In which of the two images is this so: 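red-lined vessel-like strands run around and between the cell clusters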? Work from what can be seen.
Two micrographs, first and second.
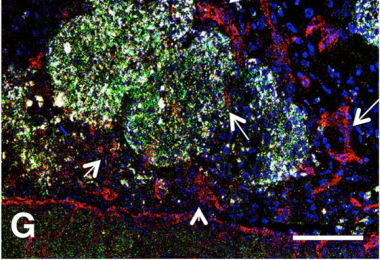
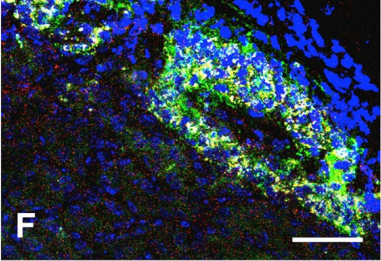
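Second image: hardly any red lines; the green cluster is surrounded mostly by blue nuclei. First image: many red thin strands and branching outlines around and between the green clusters. That points to this answer: the first image.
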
